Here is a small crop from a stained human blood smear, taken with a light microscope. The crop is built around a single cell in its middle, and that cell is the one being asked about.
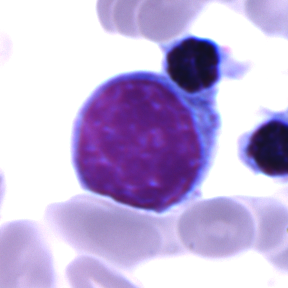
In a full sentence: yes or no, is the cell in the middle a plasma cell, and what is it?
No, it isn't a plasma cell; what sits in the middle is a typical lymphocyte.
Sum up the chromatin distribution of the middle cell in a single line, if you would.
The chromatin is fine, with no coarse clumping anywhere.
